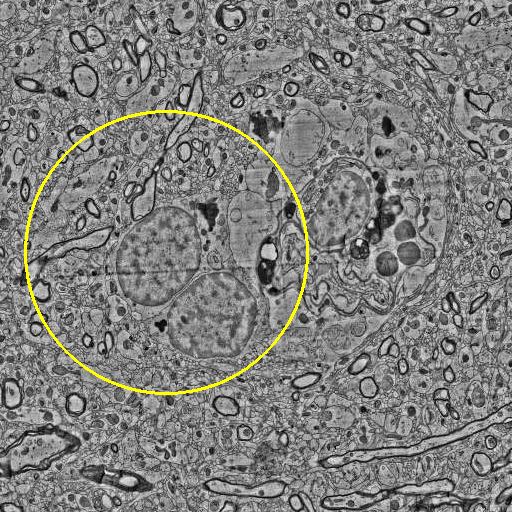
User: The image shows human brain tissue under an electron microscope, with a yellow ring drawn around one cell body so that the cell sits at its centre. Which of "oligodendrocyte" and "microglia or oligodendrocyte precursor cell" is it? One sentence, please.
At the centre of the ring sits an oligodendrocyte.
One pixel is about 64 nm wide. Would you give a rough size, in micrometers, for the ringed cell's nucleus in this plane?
In this plane, roughly 7 by 5 micrometres.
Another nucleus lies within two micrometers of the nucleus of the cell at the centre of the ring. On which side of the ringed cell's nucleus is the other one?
That other nucleus is to the lower right of it.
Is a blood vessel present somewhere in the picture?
Yes, there is one.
